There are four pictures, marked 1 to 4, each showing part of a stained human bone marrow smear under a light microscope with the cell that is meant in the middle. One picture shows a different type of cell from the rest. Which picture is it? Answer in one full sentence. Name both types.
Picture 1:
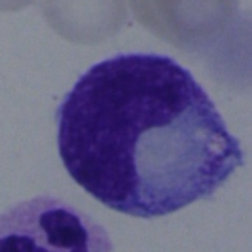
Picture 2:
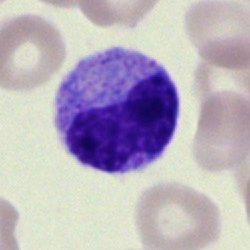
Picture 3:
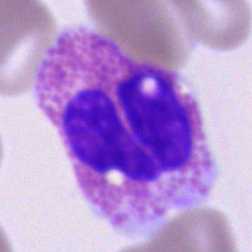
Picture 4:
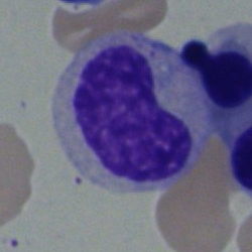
Unlike the rest, which show metamyelocytes, picture 3 shows an eosinophil.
